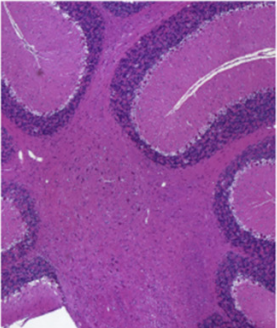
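This is the cerebellum, with folia made of a pale pink outer layer, a dark purple band of tightly packed small nuclei, and a central pink core of white matter. The white matter is evenly stained and compact, with scattered small nuclei and only a few narrow vessels. The layers of the folia are regular and sharply bounded.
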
